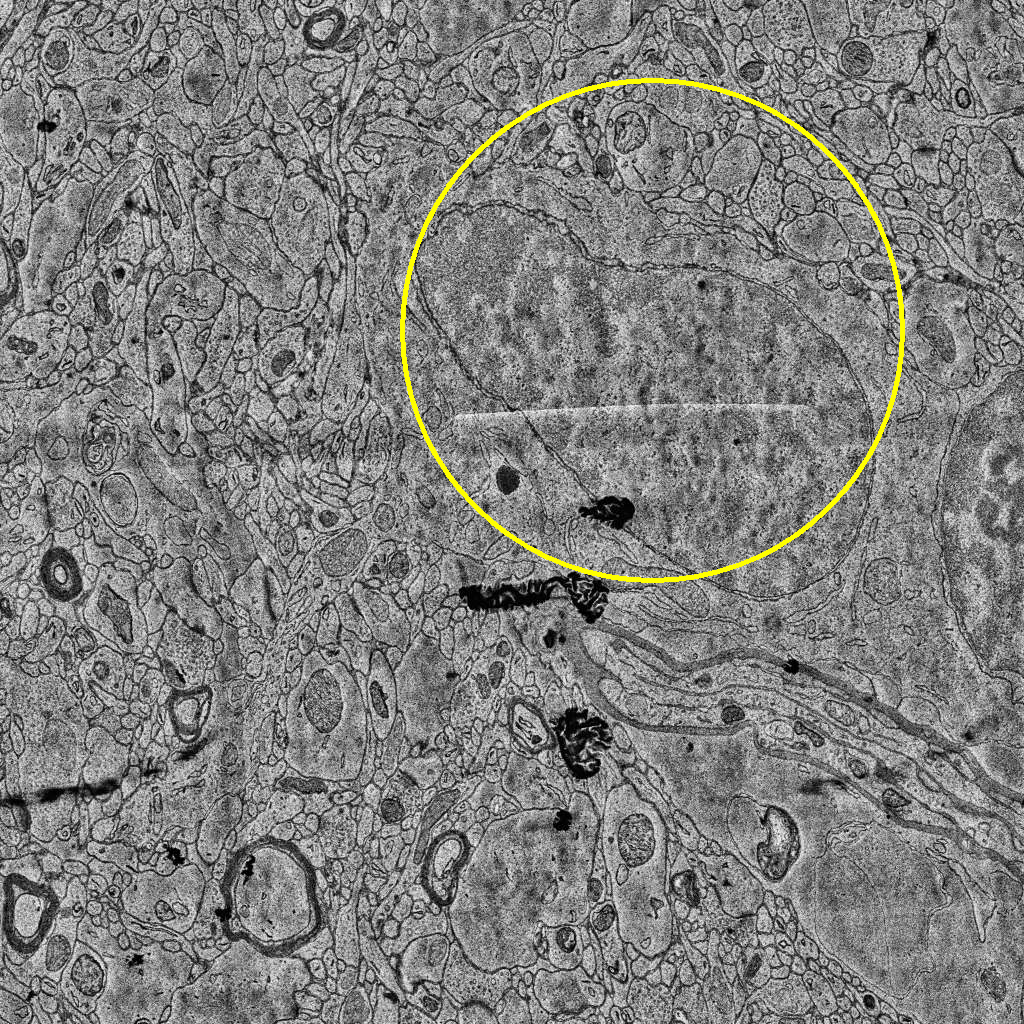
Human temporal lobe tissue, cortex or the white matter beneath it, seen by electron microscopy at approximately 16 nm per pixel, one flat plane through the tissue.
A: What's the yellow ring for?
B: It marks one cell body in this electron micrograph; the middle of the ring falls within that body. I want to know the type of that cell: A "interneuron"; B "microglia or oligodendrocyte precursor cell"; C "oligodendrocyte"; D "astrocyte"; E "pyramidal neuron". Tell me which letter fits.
B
